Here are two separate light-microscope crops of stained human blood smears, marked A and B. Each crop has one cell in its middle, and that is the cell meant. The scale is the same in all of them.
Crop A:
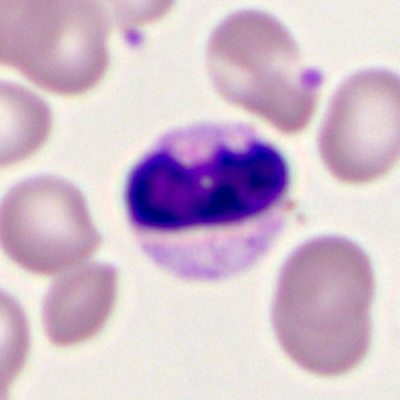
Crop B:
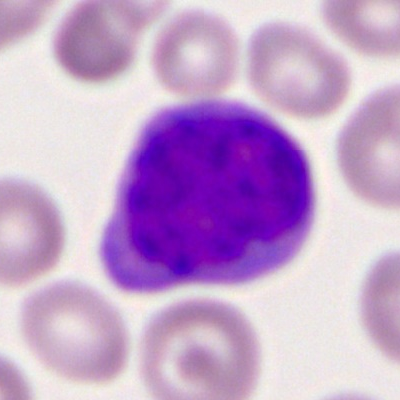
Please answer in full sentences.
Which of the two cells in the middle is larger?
The cell in crop B is larger, with about 1.5 times the area of the one in crop A.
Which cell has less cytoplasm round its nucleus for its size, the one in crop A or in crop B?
In crop B the nucleus takes up the larger part of its cell.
